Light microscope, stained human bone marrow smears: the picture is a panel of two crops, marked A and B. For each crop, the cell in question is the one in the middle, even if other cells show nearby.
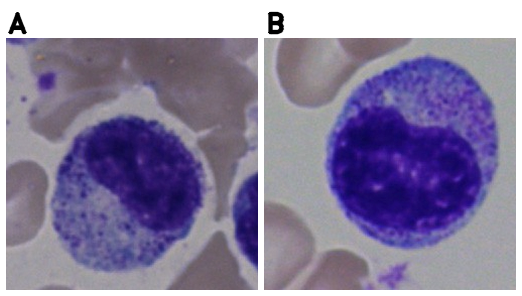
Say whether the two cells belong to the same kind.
yes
